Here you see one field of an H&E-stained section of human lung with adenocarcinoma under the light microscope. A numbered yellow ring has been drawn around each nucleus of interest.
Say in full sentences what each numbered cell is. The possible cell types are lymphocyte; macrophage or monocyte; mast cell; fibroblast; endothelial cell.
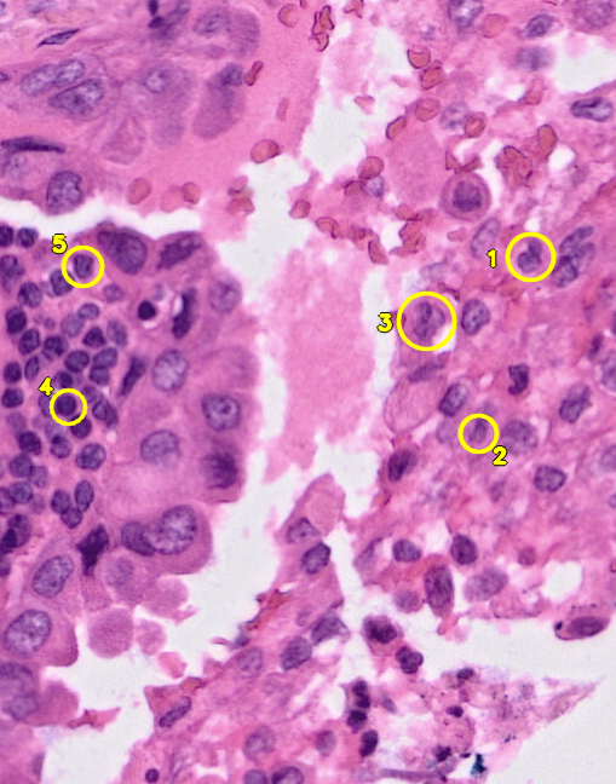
Cell 1 is a macrophage or monocyte, cell 2 is a macrophage or monocyte, cell 3 is a macrophage or monocyte, cell 4 is a lymphocyte and cell 5 is a lymphocyte.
